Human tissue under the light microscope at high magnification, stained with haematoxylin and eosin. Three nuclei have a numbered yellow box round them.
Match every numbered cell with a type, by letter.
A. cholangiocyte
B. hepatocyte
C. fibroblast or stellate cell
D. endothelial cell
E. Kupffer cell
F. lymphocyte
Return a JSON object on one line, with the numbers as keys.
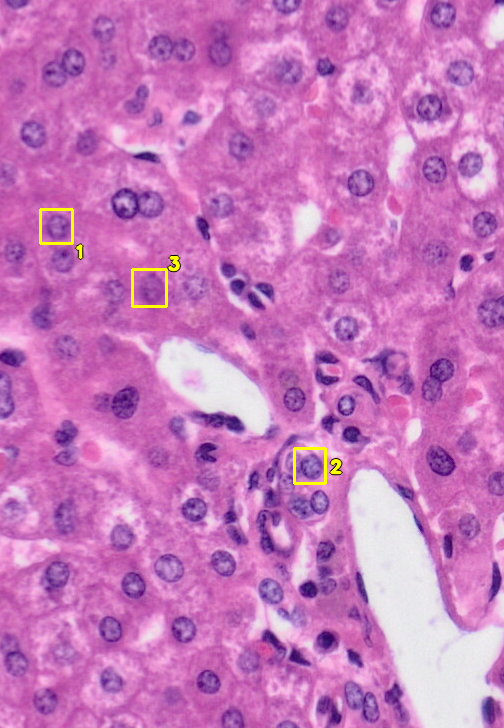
{"1": "B", "2": "A", "3": "B"}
